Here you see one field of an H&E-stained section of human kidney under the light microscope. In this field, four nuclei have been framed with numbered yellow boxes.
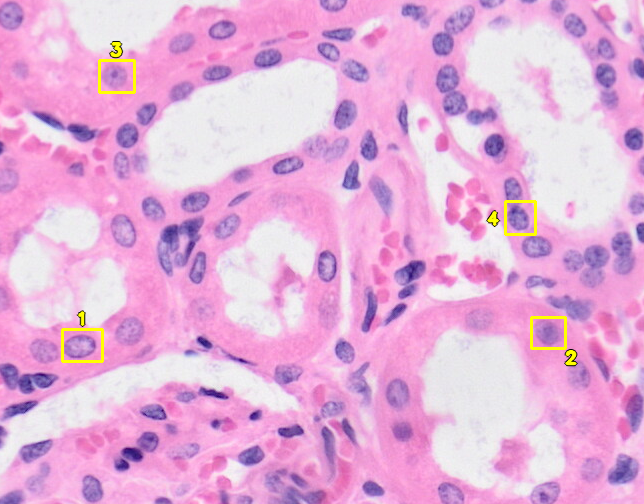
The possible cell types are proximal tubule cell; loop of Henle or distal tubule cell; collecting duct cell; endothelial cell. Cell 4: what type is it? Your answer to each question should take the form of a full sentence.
The cell carrying label 4 is identified as a collecting duct cell.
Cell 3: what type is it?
The cell indicated by marker 3 is a proximal tubule cell in this section.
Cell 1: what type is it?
Among the marked cells, number 1 is a proximal tubule cell.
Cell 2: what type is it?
As for number 2, that cell is a proximal tubule cell.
